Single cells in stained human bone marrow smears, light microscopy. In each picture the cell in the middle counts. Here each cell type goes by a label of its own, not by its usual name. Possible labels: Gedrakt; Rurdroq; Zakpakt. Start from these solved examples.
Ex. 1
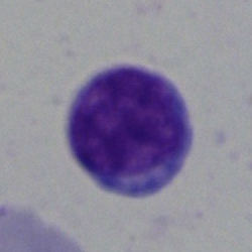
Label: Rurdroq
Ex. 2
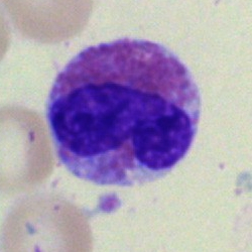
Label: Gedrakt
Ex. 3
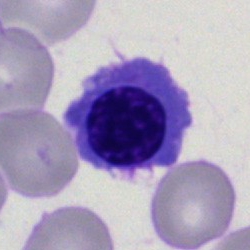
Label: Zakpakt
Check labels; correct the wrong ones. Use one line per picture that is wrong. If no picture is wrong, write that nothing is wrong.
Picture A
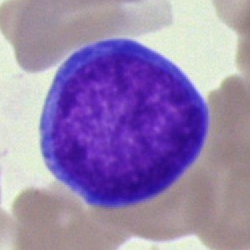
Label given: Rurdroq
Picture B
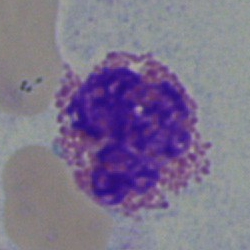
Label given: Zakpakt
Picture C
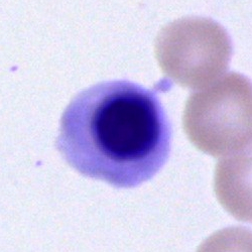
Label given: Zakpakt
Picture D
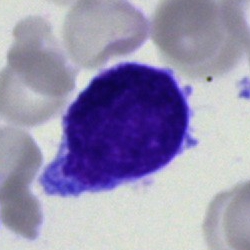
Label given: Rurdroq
B: change Zakpakt to Gedrakt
